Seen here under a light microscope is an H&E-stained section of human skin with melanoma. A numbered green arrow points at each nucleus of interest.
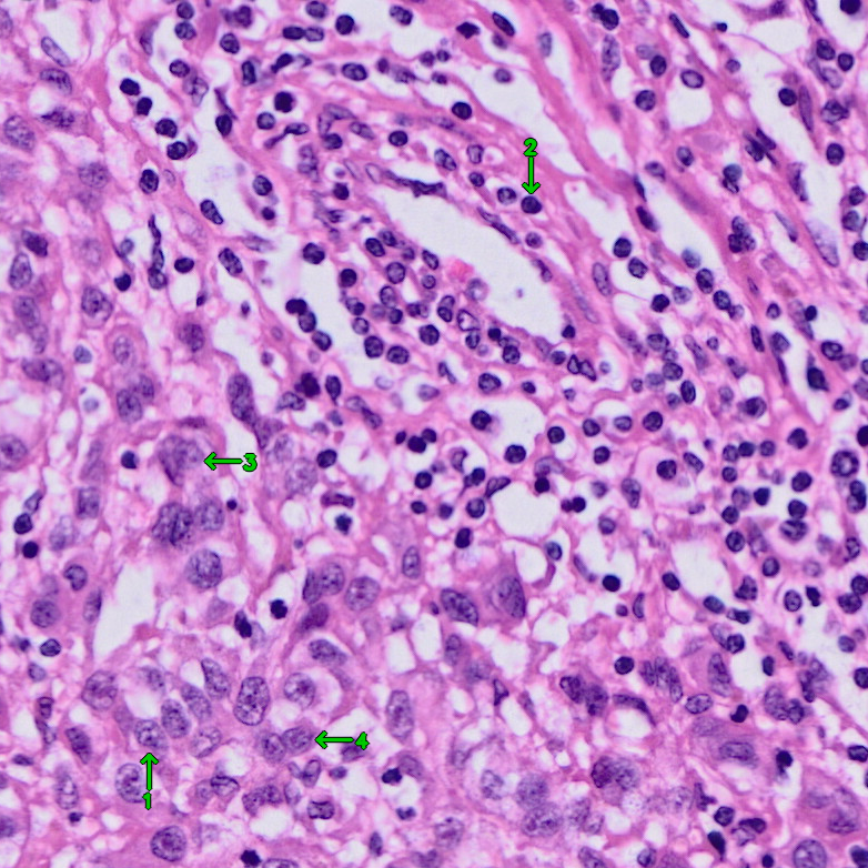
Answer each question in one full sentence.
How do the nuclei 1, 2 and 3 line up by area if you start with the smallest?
The order from the smallest nucleus to the largest is 2, 1, 3.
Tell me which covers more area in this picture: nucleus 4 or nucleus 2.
Of the two, number 4 is bigger and takes up about 2 times the area of number 2.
